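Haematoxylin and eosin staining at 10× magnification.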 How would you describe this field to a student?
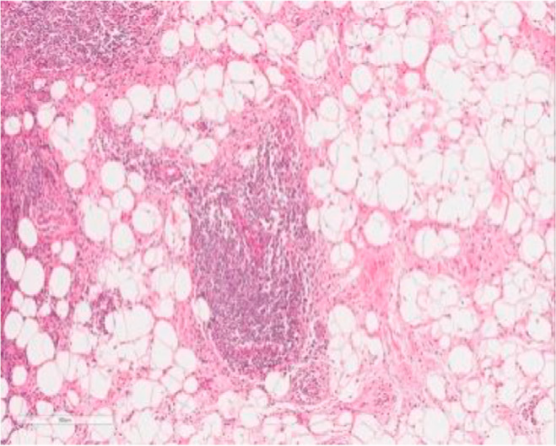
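Mature fatty tissue with rounded, clear adipocytes of varying size separated by thin pink septa occupies most of the field. In the centre lies an oval, dense aggregate of small round dark purple lymphoid nuclei. Pinker fibrous strands with spindle nuclei run between fat lobules, and a further lymphoid aggregate sits at the upper left edge.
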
